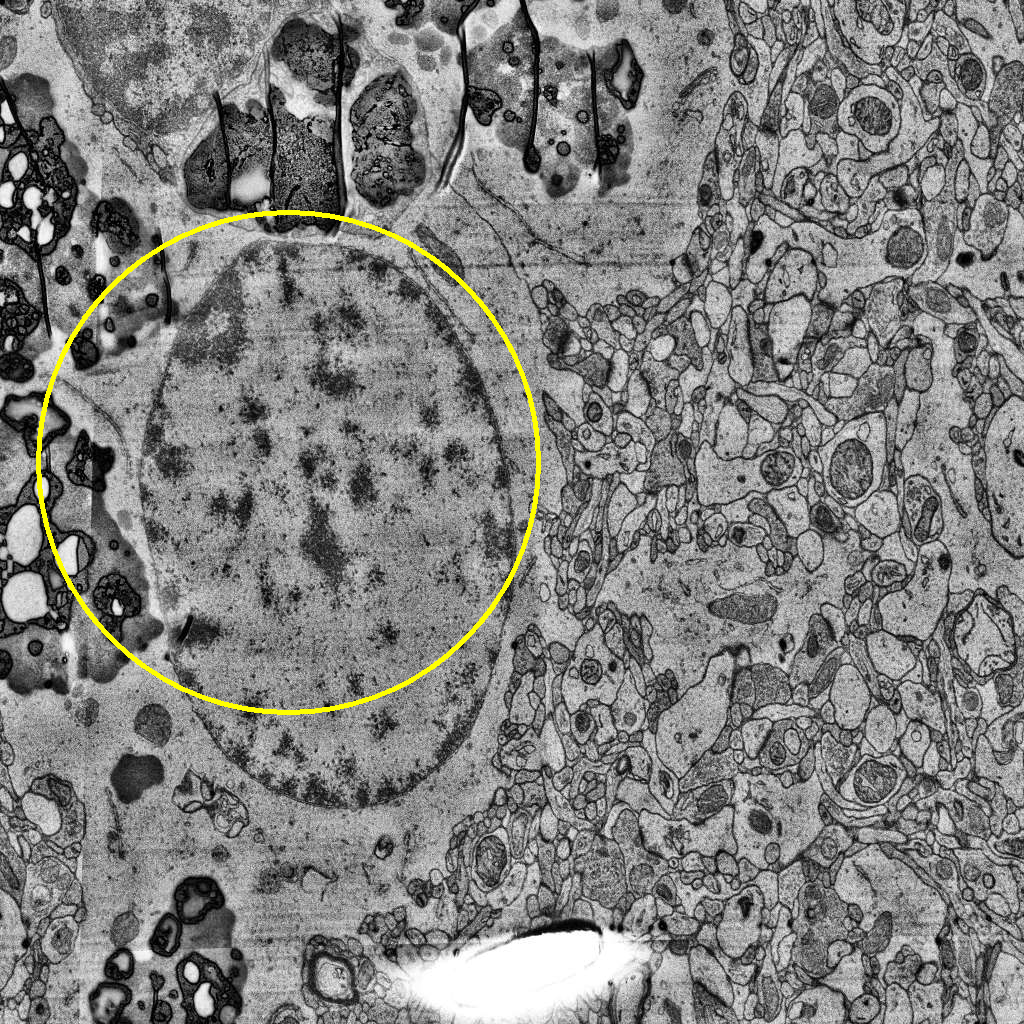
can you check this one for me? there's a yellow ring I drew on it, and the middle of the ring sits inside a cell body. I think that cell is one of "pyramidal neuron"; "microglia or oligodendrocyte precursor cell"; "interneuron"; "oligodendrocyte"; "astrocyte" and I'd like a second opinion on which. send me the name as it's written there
astrocyte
